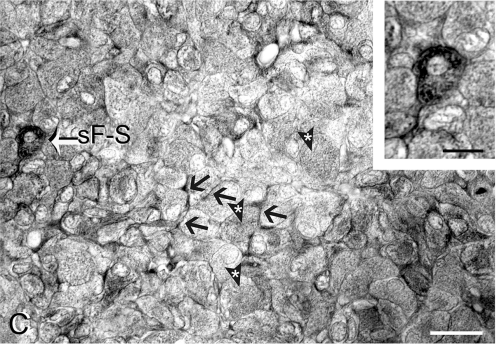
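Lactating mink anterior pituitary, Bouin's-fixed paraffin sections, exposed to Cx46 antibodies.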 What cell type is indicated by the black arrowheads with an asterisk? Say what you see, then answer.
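These cells are packed closely among similar cells.
Answer: endocrine cells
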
